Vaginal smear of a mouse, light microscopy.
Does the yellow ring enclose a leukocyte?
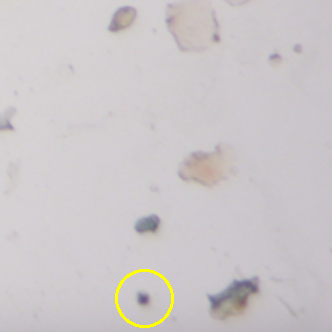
Yes. The ring encloses a leukocyte.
